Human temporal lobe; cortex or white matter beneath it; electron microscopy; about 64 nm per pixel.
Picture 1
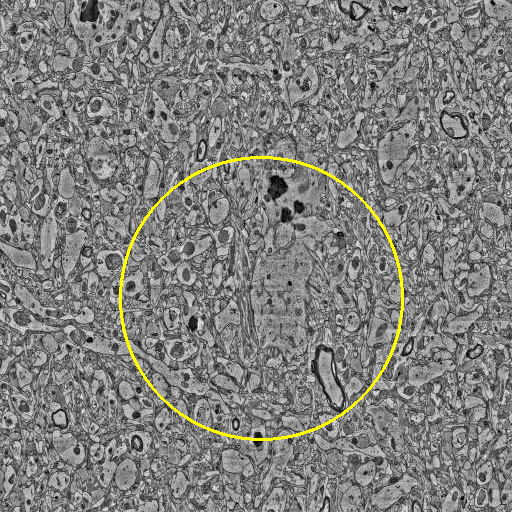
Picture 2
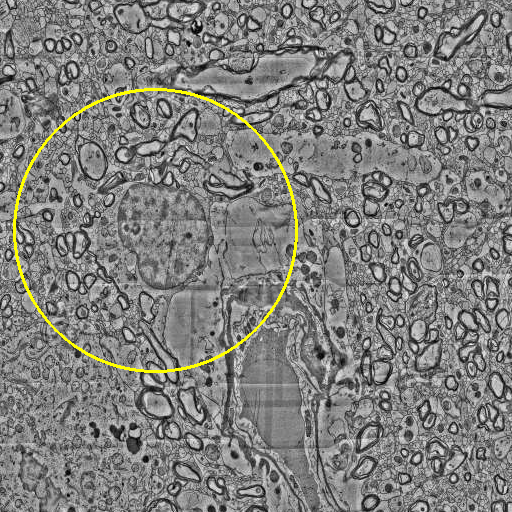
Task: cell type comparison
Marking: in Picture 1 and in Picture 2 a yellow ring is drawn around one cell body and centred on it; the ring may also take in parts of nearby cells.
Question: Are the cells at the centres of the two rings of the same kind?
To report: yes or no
no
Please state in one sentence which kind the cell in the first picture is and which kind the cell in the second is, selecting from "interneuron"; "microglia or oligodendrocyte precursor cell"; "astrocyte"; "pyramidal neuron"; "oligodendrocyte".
The first ringed cell is an interneuron, the second ringed cell an oligodendrocyte.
